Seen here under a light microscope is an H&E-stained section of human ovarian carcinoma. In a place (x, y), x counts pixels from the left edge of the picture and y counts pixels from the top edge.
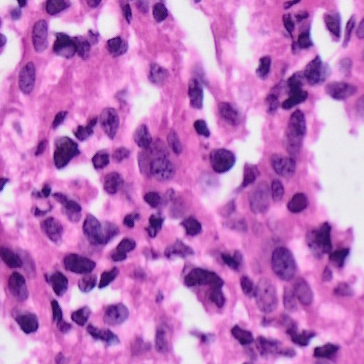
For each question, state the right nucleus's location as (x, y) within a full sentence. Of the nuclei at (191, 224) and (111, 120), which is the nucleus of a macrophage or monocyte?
Of the two nuclei present, the one at (111, 120) is within a macrophage or monocyte.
